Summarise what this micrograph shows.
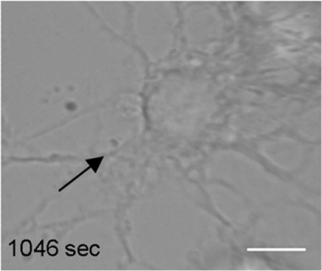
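A cultured cell is seen in phase contrast, with a rounded, slightly granular cell body in the centre. Several thin processes extend from the cell body and run across the field. Other thin processes from neighbouring cells cross the background, and a denser, fibrous region lies at the upper right. A black arrow points to a tiny round particle at the lower left edge of the cell body.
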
